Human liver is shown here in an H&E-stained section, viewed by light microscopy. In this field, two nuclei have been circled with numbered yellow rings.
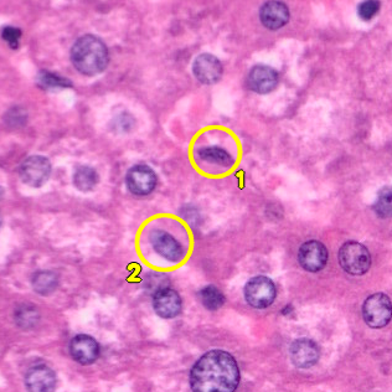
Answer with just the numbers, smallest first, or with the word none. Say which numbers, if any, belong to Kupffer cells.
2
